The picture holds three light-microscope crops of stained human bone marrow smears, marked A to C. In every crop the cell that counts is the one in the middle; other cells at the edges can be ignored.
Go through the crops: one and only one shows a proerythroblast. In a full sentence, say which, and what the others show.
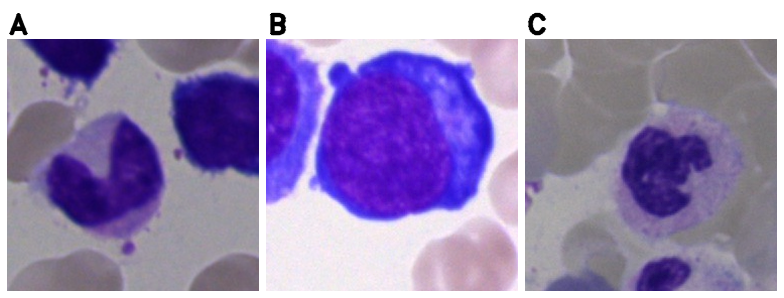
Crop B contains a proerythroblast; meanwhile, crop A is a band neutrophil and crop C is a segmented neutrophil.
